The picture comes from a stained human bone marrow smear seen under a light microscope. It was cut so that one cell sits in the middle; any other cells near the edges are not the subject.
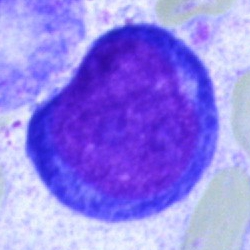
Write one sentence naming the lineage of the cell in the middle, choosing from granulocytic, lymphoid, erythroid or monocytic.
Lineage classification of the central cell is erythroid.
